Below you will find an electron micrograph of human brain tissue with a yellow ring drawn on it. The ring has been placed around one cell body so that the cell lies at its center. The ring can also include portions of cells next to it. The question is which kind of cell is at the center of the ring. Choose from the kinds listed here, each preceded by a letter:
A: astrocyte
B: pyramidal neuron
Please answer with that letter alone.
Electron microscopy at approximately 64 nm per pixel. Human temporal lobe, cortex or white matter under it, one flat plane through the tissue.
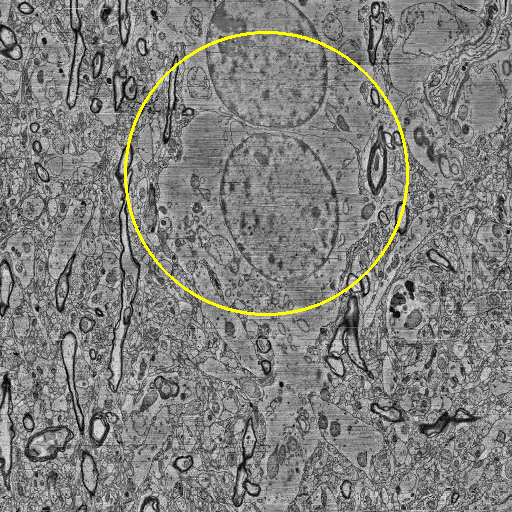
A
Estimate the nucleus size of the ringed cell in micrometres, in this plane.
The nucleus appears roughly 10 by 7 micrometres in this plane.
